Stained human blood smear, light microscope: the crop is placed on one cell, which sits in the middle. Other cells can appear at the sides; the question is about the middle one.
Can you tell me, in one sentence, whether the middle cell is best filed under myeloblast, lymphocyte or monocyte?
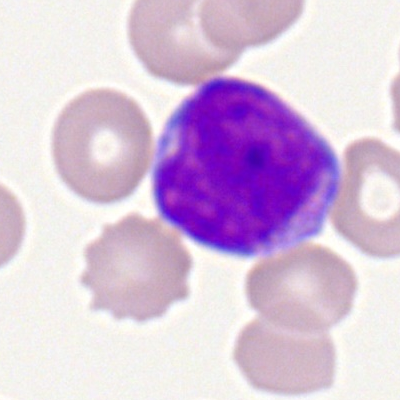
The cell that lies at the centre of the crop is a myeloblast.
